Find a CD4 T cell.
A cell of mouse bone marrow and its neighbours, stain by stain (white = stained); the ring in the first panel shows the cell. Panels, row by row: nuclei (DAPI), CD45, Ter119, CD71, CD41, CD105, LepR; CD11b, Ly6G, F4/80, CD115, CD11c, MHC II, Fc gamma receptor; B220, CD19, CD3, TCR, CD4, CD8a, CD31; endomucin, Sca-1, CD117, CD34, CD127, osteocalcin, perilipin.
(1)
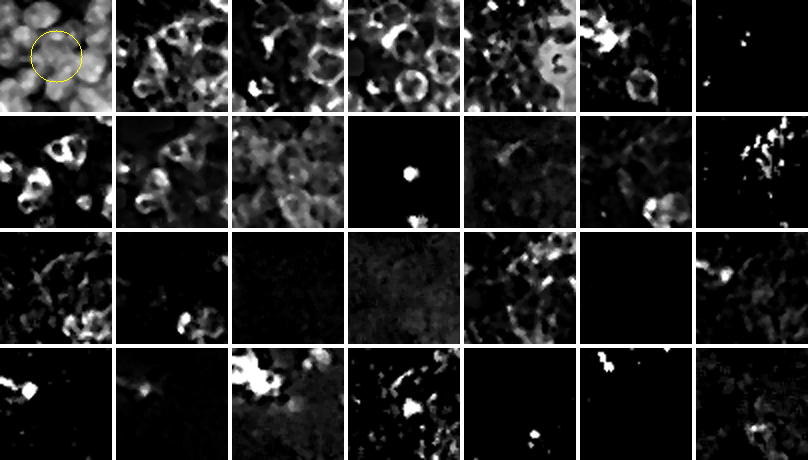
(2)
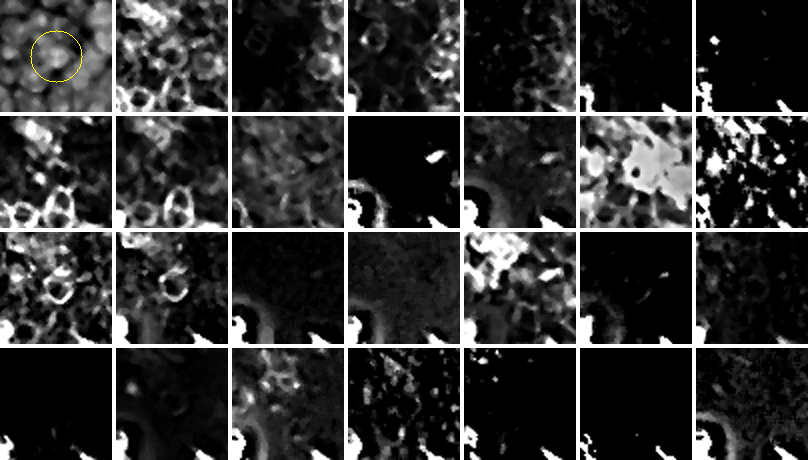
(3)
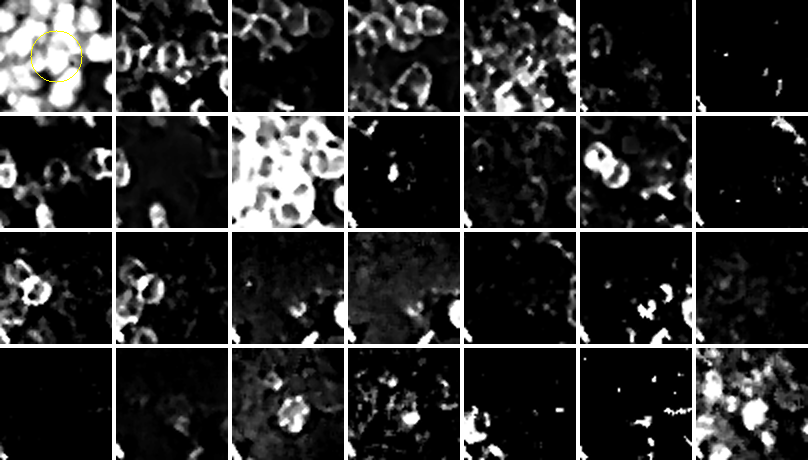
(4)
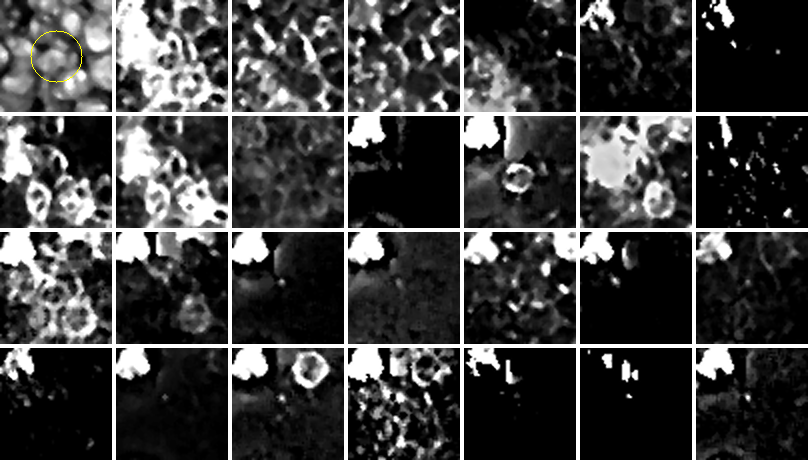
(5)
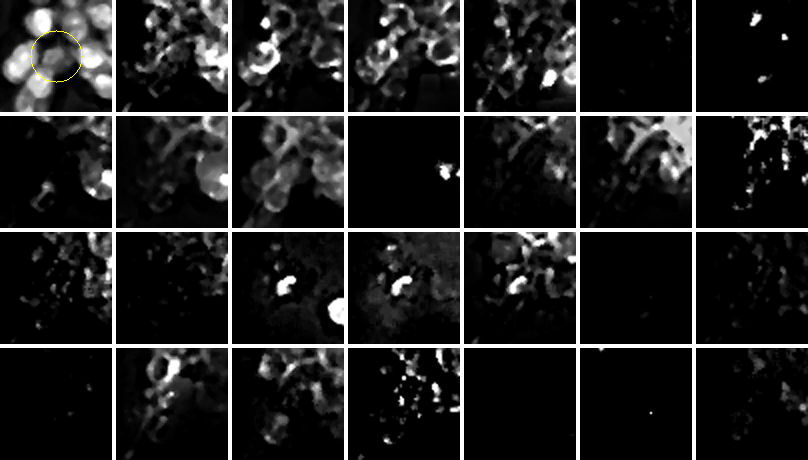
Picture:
5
